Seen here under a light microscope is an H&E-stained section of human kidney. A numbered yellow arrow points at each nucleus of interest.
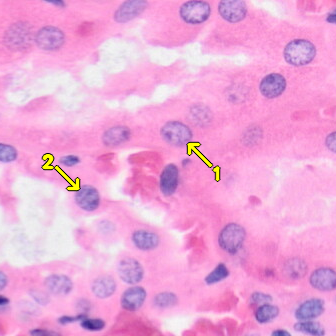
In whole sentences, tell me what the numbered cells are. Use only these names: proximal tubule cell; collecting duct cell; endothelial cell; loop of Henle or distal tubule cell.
Cell 1 is a proximal tubule cell and cell 2 is a loop of Henle or distal tubule cell.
